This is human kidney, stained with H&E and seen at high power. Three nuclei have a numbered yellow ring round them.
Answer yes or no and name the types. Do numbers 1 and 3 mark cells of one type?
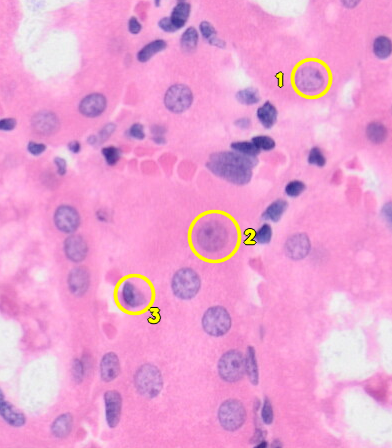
No, the correct reading has cell 1 as a proximal tubule cell and cell 3 as an endothelial cell.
